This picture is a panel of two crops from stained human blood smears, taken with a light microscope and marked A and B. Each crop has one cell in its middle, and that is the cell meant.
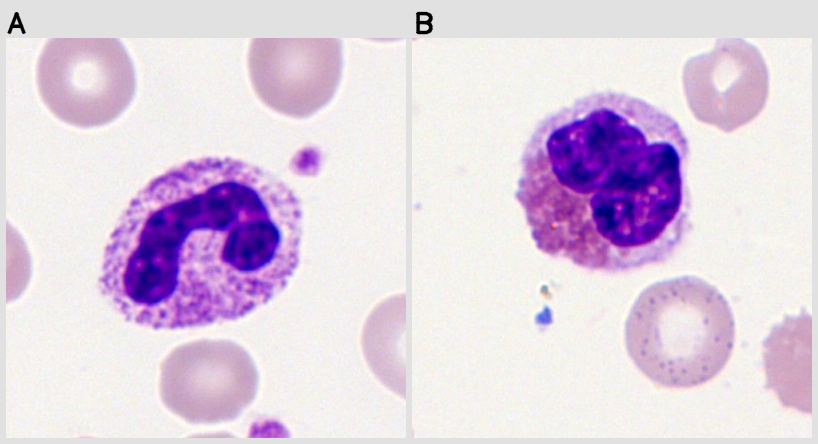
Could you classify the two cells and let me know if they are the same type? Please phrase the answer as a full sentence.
No, the cell shown in crop A is a band neutrophil, and the cell shown in crop B is an eosinophil.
